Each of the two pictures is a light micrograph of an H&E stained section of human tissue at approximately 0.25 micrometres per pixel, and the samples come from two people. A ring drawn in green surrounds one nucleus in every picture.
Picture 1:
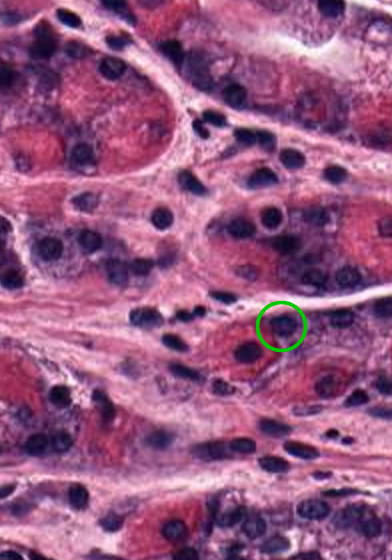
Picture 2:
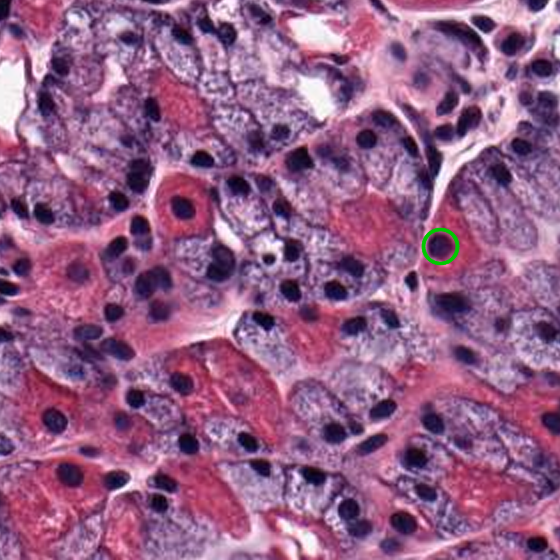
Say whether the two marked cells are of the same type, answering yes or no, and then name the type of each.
No, the first is a chief cell and the second a parietal cell.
